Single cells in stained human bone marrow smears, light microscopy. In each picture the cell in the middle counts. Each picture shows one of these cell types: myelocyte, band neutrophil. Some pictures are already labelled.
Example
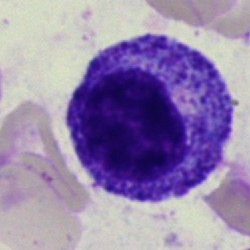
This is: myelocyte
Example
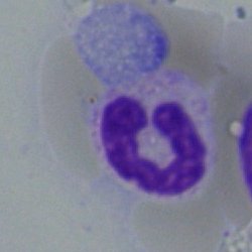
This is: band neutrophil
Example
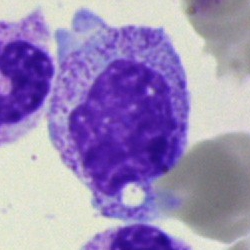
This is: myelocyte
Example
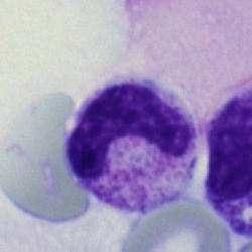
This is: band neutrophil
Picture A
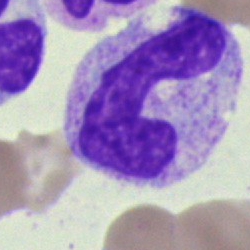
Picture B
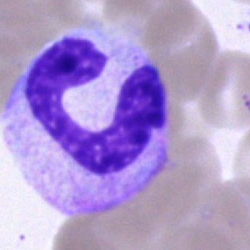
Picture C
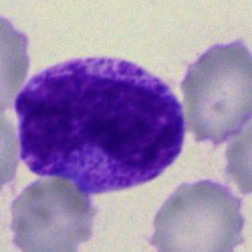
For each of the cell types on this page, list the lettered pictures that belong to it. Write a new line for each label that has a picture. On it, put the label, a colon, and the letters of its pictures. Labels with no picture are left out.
myelocyte: C
band neutrophil: A, B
